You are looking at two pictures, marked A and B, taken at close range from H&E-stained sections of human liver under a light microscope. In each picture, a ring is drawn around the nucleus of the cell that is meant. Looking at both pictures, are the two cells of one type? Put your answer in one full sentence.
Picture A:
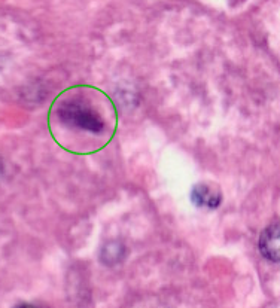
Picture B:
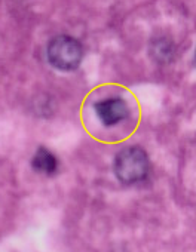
No; the cell in picture A is a “fibroblast or stellate cell”, while the one in picture B is an endothelial cell.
